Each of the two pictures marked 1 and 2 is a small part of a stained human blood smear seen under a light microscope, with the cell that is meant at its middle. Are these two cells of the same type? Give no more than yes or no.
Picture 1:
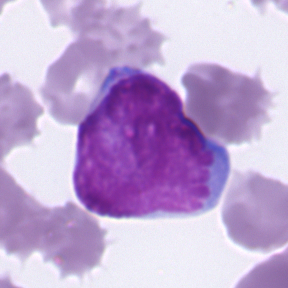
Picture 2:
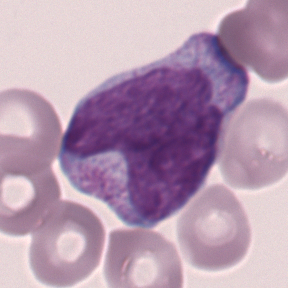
no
